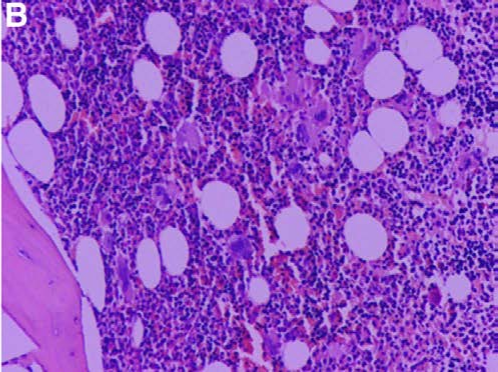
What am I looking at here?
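Bone marrow at higher magnification, with densely packed blood-forming cells, including large megakaryocytes, between fat vacuoles. A pink band of bone runs along the lower left edge. Round, clear fat vacuoles of varying size are spread through the field. Between them lie crowded small cells with dark purple round nuclei, mixed with red-staining areas of red cells. Scattered among them are several much larger cells with ample pale pink cytoplasm and dark, irregular, lobulated nuclei. The blood-forming cells far outnumber the fat spaces.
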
